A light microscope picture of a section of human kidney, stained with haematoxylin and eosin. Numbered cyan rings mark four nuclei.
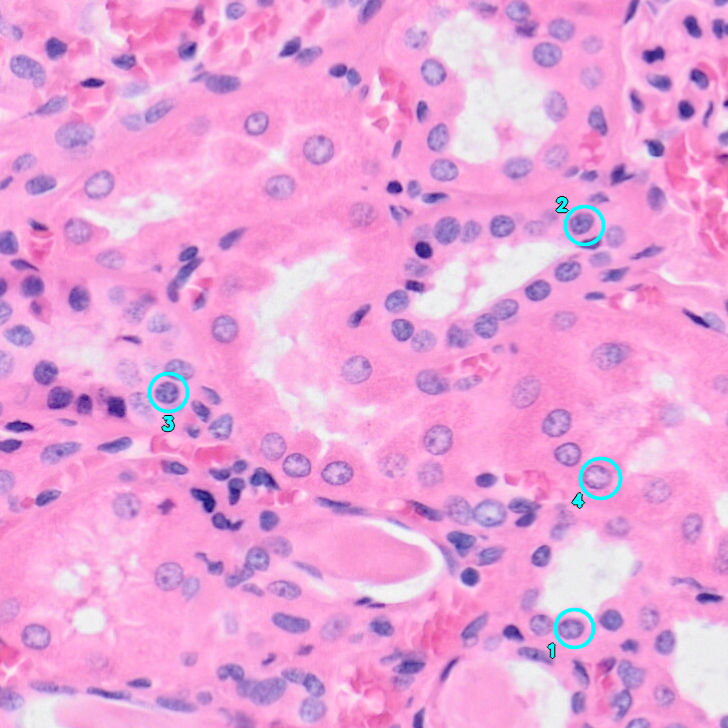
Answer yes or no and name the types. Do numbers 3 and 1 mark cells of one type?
No, cell 3 is a collecting duct cell, with cell 1 being a loop of Henle or distal tubule cell.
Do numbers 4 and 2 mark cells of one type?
No, the right answer is a proximal tubule cell for cell 4 and a collecting duct cell for cell 2.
